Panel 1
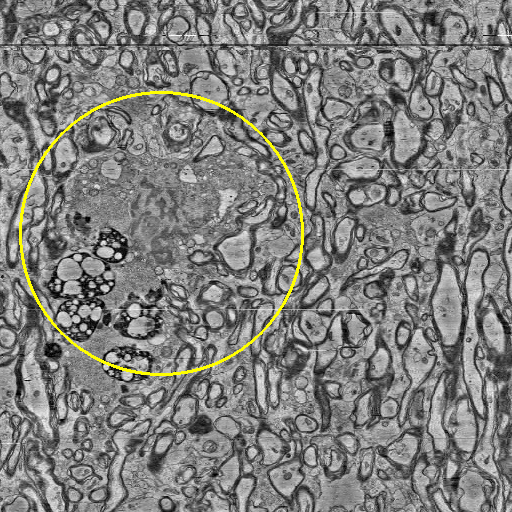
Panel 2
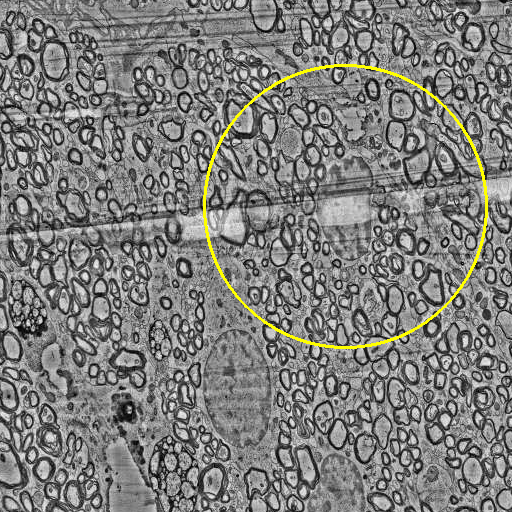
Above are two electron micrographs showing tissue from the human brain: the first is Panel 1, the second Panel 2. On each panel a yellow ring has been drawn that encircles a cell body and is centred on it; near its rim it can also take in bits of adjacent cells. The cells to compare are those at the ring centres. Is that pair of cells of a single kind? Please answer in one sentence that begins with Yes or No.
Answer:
No, the ring-centred cells of Panel 1 and Panel 2 belong to two kinds.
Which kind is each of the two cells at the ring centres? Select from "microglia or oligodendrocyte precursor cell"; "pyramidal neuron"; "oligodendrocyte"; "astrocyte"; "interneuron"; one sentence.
The cell at the centre of the ring is an astrocyte in the first picture and a microglial cell or oligodendrocyte precursor cell in the second.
